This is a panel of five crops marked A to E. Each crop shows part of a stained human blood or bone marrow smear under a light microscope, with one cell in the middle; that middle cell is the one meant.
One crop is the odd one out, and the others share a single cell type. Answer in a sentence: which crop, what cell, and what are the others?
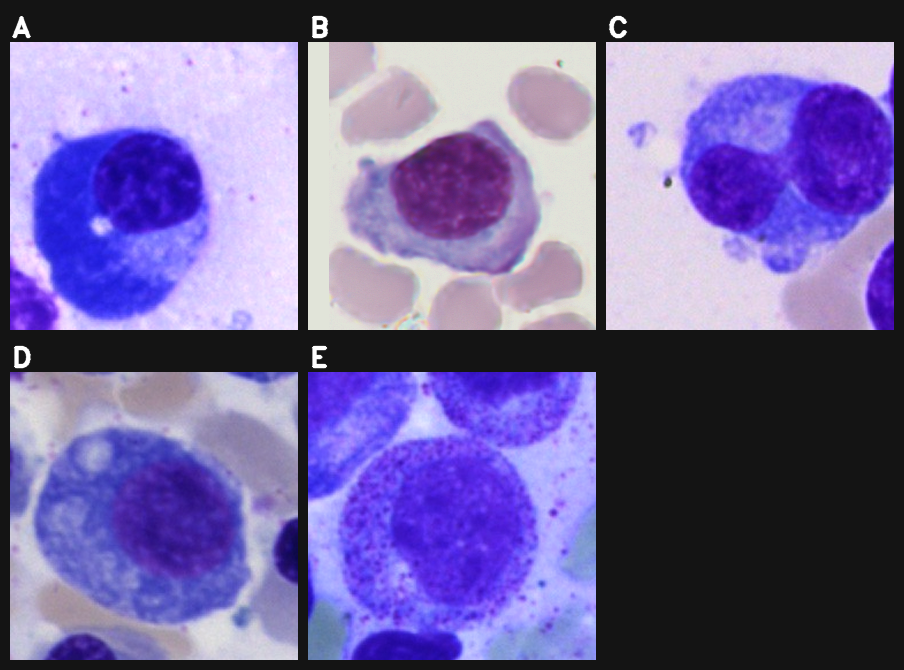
What sets crop E apart is that it shows a myelocyte, while the others show plasma cells.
